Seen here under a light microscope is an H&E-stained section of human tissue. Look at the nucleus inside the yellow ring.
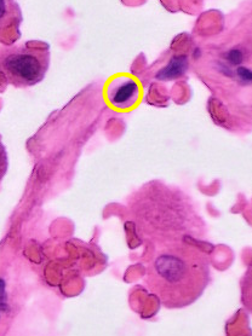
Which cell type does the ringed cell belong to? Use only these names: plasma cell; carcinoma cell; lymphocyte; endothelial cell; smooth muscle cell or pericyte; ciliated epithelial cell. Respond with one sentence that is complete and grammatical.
It is as an endothelial cell that the ringed cell is classified.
